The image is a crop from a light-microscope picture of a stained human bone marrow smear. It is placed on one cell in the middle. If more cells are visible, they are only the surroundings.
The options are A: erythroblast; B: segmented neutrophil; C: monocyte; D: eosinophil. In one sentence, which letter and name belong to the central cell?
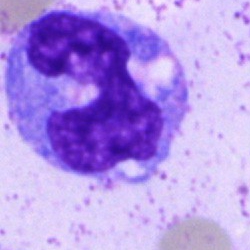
The correct response is option C, naming the cell in the middle as a monocyte.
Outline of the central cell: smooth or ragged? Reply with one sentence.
The border of this cell runs smooth and free of any projections.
